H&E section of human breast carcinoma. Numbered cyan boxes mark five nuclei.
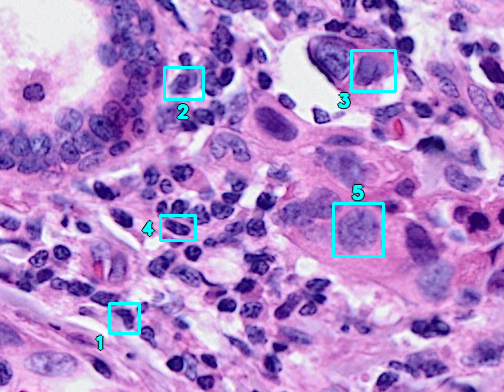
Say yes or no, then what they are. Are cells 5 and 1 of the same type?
No, cell 5 here is a carcinoma cell, and cell 1 here is a lymphocyte.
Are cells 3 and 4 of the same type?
No, rather, cell 3 is a carcinoma cell and cell 4 is a lymphocyte.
